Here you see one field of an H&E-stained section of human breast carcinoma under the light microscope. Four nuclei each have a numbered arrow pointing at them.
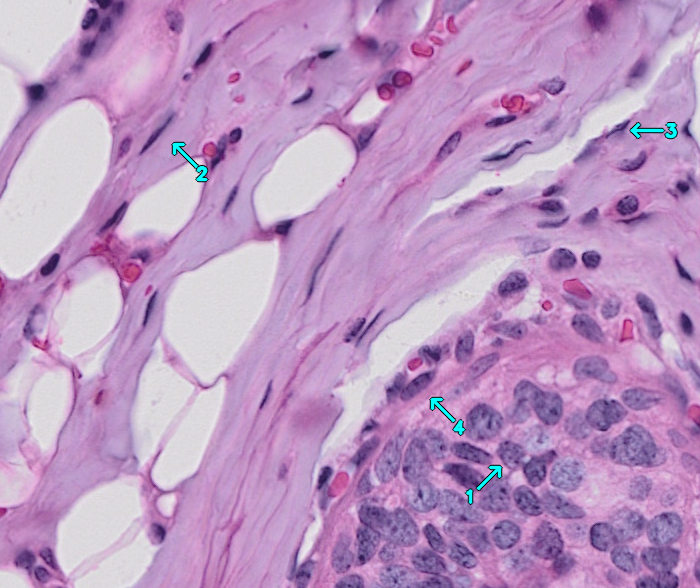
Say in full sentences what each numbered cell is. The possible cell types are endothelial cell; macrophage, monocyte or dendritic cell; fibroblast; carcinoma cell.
Cell 1 is a carcinoma cell, cell 2 is a fibroblast, cell 3 is a fibroblast and cell 4 is an endothelial cell.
